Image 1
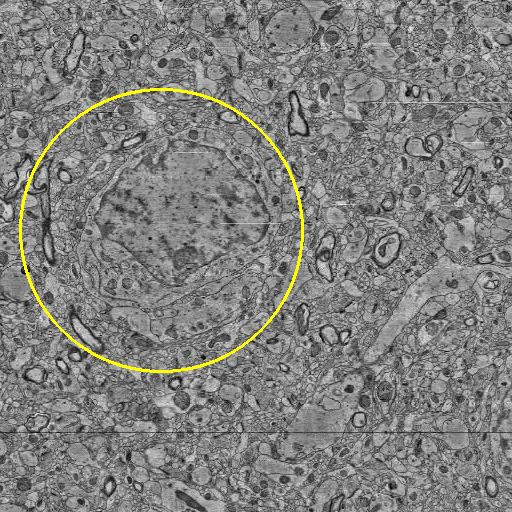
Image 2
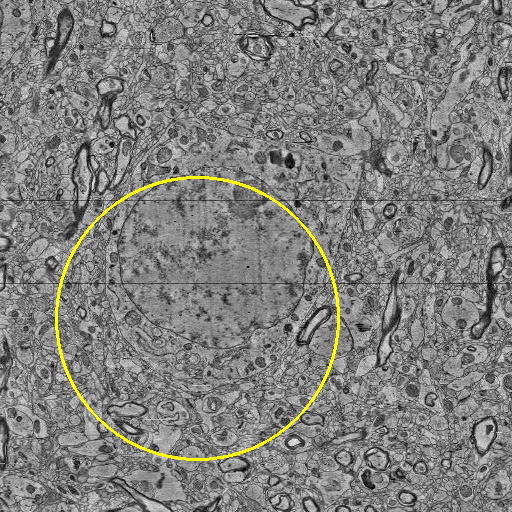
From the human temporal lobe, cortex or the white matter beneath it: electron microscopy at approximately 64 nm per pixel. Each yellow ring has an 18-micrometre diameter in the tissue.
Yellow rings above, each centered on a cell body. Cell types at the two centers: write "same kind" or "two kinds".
two kinds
